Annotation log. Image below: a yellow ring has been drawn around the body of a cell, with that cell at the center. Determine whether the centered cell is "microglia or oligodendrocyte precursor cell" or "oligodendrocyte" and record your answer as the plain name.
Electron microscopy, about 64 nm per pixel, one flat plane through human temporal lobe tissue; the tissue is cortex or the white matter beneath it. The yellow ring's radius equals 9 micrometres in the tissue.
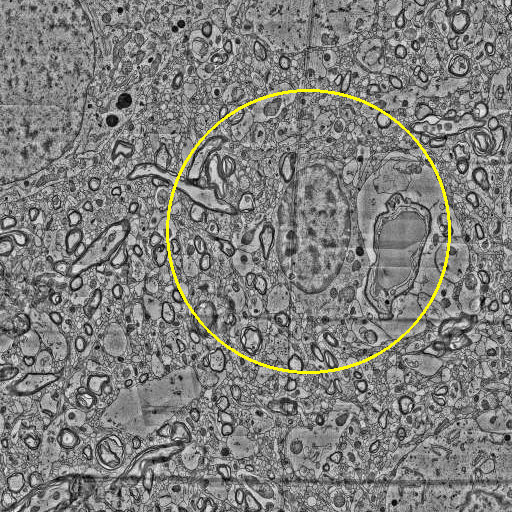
oligodendrocyte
